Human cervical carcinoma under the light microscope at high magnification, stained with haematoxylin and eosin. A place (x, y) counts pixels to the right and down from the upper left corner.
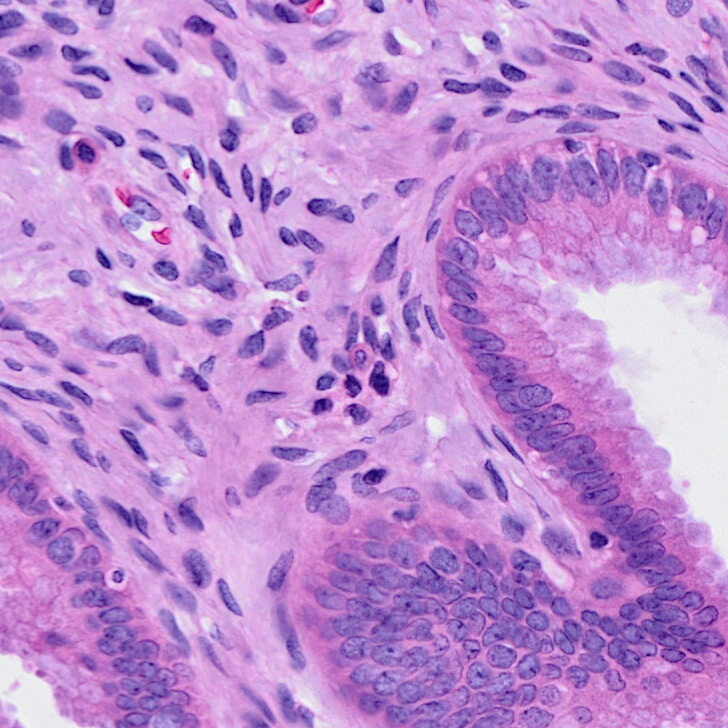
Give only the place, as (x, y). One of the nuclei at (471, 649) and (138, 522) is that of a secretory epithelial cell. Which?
(471, 649)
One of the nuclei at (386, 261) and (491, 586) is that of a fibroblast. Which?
(386, 261)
